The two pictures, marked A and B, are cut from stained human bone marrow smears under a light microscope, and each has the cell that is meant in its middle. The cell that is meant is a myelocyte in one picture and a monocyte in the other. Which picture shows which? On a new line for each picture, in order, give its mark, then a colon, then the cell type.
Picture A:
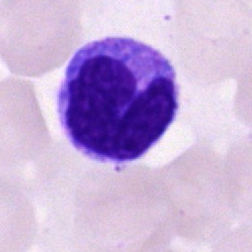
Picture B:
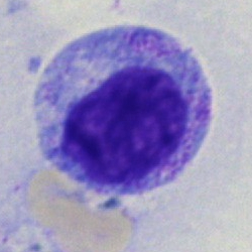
A: monocyte
B: myelocyte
